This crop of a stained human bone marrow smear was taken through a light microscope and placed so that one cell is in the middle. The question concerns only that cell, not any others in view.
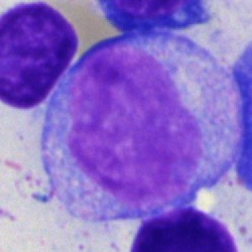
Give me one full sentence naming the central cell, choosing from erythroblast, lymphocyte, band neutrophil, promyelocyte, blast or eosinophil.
Present in the middle of the crop is a blast.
